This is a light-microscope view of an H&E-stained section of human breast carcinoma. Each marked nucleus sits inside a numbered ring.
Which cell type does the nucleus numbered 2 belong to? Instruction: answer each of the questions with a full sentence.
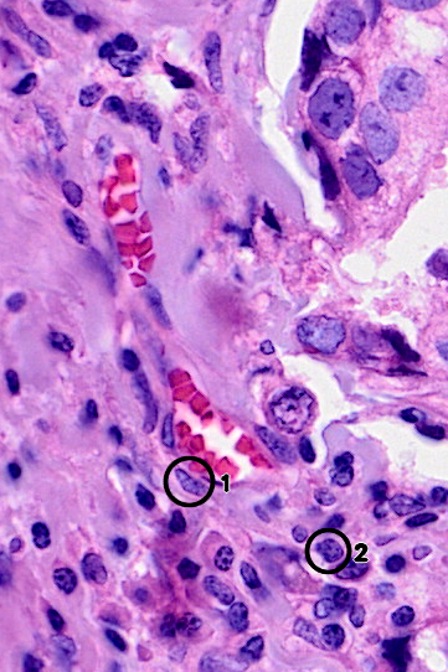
In the marked set, the cell given number 2 is a lymphocyte.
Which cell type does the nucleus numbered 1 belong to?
The cell indicated by marker 1 is an endothelial cell in this section.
